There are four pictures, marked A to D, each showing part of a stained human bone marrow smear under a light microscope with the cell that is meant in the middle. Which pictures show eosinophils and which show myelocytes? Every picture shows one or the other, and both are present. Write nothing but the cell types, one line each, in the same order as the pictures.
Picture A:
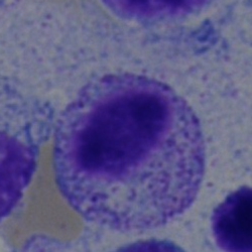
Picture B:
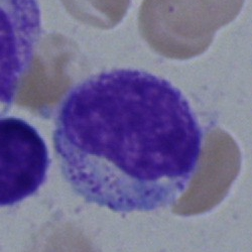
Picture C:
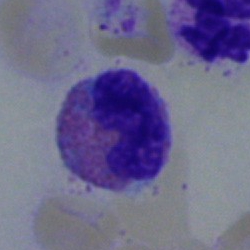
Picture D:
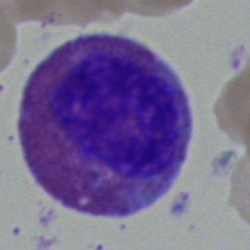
myelocyte
myelocyte
eosinophil
eosinophil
